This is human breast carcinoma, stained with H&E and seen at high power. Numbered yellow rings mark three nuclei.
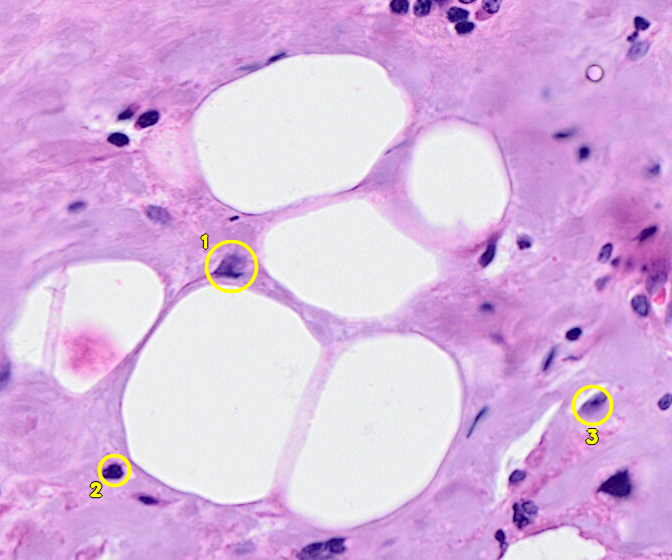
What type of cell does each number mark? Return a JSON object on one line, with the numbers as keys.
{"1": "fibroblast", "2": "lymphocyte", "3": "fibroblast"}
